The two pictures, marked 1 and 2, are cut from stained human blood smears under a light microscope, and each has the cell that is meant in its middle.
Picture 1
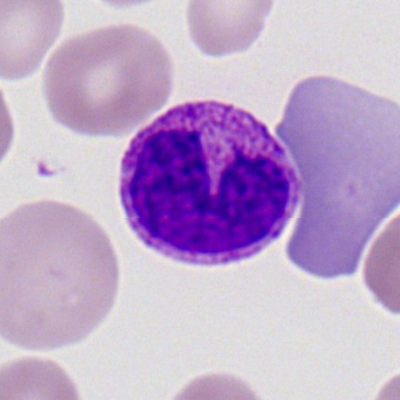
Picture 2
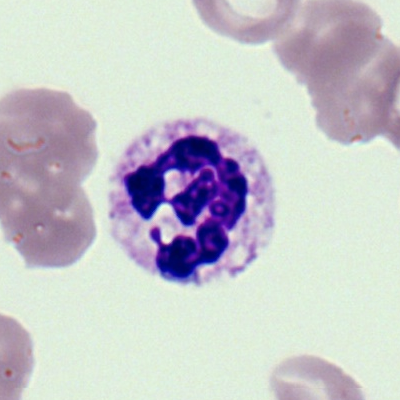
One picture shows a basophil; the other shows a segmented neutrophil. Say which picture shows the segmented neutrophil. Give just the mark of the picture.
2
